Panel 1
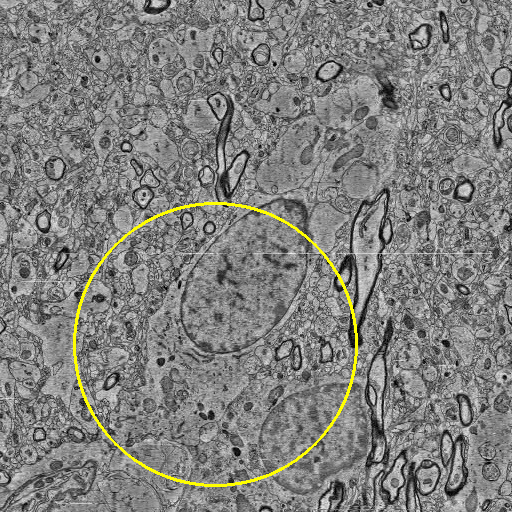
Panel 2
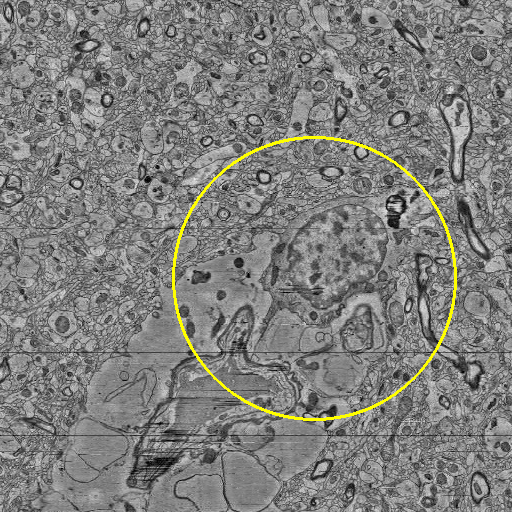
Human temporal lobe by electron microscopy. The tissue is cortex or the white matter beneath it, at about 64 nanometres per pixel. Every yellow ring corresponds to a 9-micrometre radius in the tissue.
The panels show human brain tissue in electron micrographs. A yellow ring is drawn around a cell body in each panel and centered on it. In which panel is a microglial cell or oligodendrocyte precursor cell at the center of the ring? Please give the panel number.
1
